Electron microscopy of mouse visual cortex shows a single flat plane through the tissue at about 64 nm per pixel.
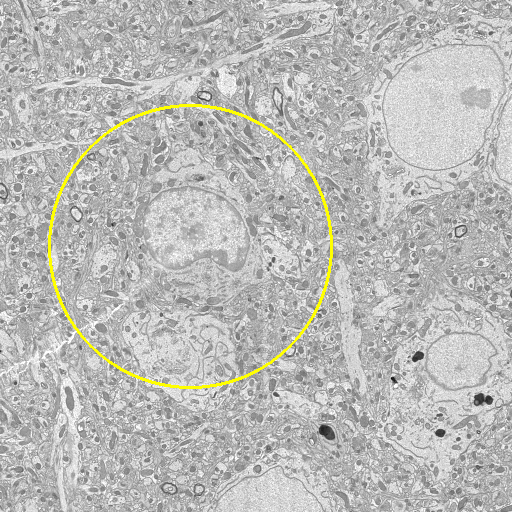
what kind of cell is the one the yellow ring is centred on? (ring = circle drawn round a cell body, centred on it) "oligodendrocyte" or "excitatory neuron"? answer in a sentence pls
The ring is drawn around an oligodendrocyte.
